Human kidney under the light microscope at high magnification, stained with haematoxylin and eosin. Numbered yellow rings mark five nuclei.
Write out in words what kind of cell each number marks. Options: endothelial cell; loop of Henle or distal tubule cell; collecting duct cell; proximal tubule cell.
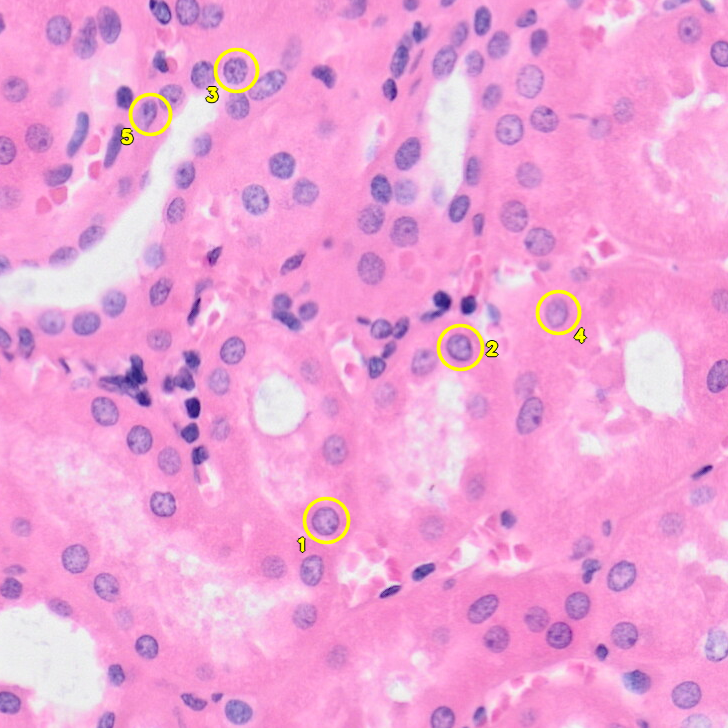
Cells 1, 2 and 4 are proximal tubule cells. Cells 3 and 5 are collecting duct cells.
